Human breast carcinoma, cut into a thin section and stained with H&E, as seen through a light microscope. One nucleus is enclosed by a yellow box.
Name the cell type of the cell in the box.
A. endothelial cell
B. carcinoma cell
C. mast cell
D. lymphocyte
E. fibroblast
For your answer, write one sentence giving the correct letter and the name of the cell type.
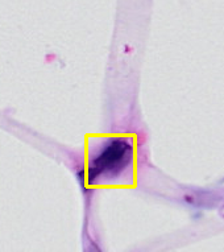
Here the correct option is A, since the cell in the box is an endothelial cell.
